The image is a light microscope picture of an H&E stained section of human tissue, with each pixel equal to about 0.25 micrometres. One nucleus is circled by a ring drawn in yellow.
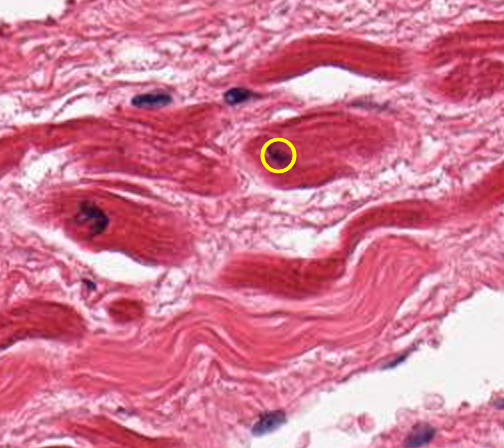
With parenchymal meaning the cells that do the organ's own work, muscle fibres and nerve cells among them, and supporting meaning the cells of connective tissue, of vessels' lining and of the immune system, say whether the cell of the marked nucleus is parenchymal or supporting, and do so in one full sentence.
The parenchymal cell that owns the marked nucleus is a cardiomyocyte.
